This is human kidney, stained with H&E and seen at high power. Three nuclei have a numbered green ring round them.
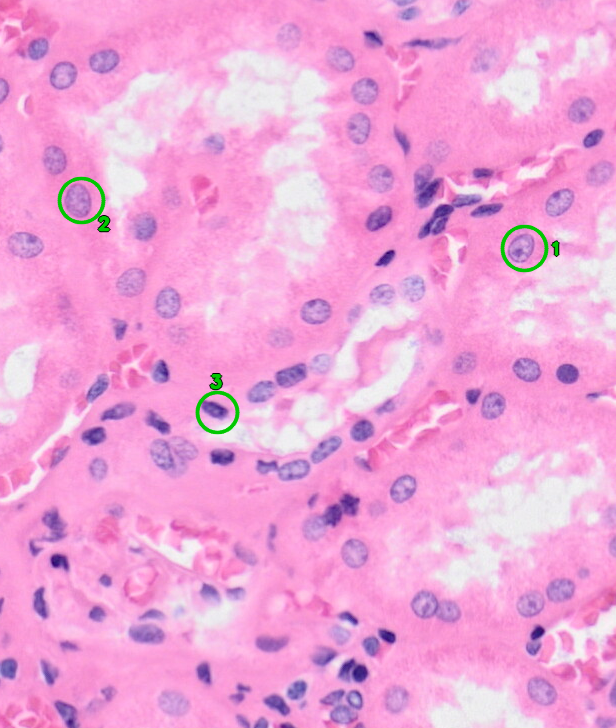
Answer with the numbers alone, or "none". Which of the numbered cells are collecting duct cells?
3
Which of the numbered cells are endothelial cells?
none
